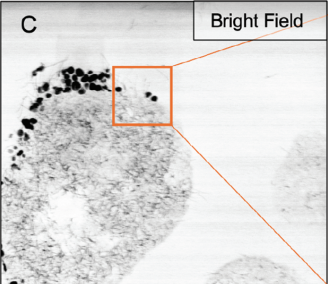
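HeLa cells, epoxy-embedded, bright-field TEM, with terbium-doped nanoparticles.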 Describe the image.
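The cell profile fills much of the left side and has a fine, fibrous and granular grey interior with a paler region near its middle. Along its upper left margin lies a crowded band of small, round, very dark particles, far denser than anything in the cell itself. A few scattered dark particles also lie further along the edge. Part of another, paler cell profile is seen at the lower right, separated by empty embedding medium.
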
